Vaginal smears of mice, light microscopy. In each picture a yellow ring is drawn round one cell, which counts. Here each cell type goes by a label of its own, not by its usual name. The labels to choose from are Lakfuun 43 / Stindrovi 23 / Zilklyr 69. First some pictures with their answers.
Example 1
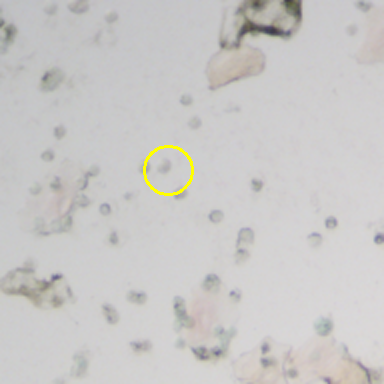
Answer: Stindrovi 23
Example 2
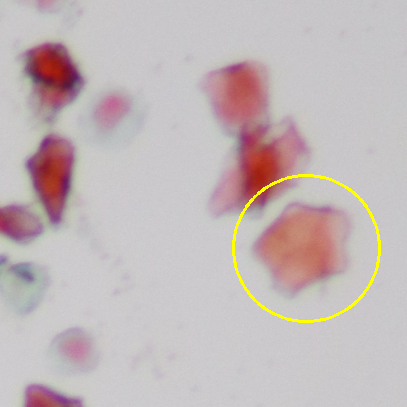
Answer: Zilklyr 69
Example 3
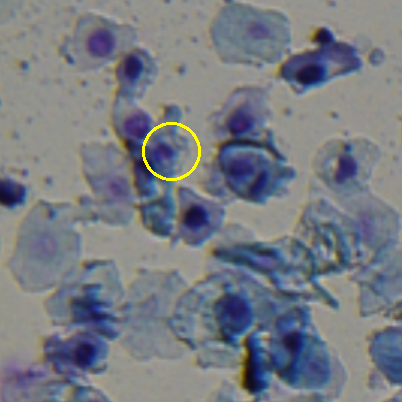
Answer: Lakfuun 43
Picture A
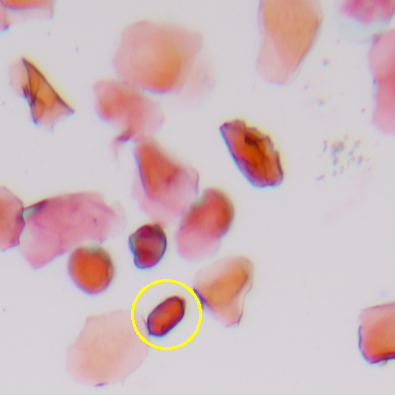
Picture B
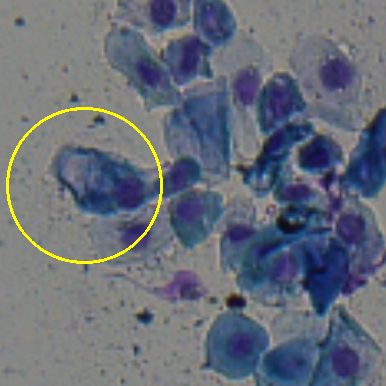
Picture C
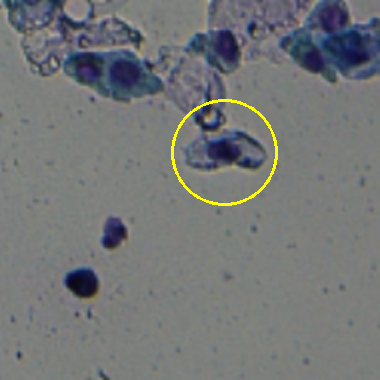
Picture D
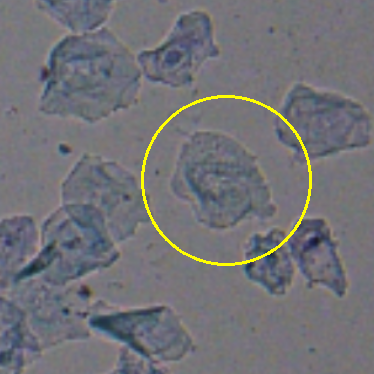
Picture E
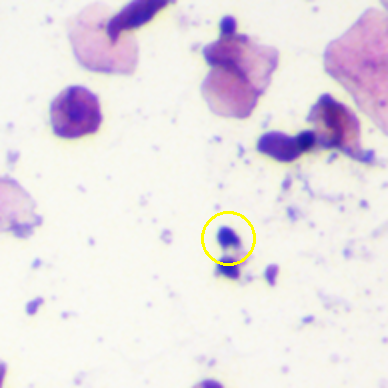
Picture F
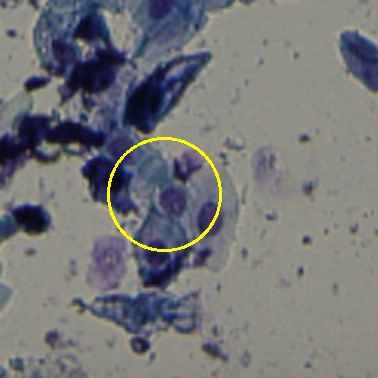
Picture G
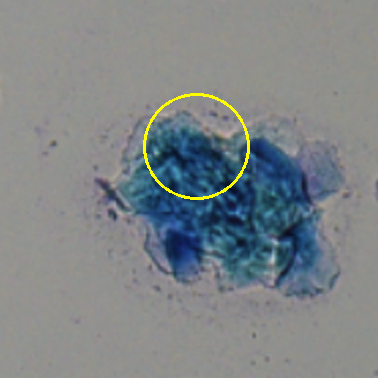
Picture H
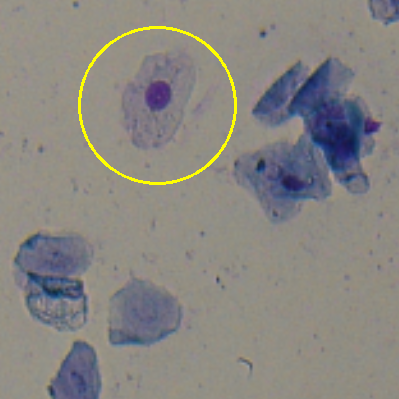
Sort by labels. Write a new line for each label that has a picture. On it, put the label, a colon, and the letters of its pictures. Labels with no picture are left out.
Lakfuun 43: B, C, F, H
Stindrovi 23: E
Zilklyr 69: A, D, G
